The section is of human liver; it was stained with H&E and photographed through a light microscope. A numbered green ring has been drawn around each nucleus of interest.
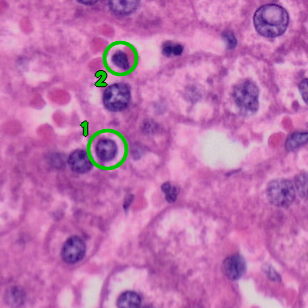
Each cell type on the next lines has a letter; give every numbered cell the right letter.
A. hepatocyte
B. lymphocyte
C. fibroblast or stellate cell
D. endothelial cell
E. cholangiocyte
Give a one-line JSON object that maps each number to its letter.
{"1": "A", "2": "B"}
